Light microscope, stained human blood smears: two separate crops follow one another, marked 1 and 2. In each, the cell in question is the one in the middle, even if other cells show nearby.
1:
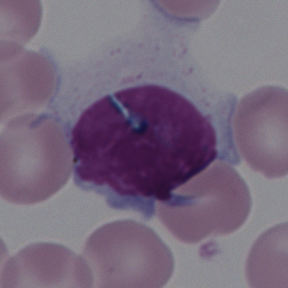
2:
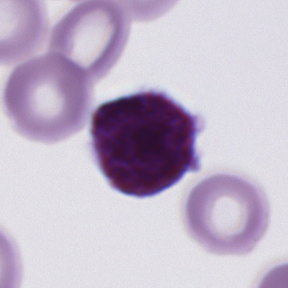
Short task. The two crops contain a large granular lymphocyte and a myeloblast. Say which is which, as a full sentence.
Crop 1 represents a large granular lymphocyte, while crop 2 represents a myeloblast.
